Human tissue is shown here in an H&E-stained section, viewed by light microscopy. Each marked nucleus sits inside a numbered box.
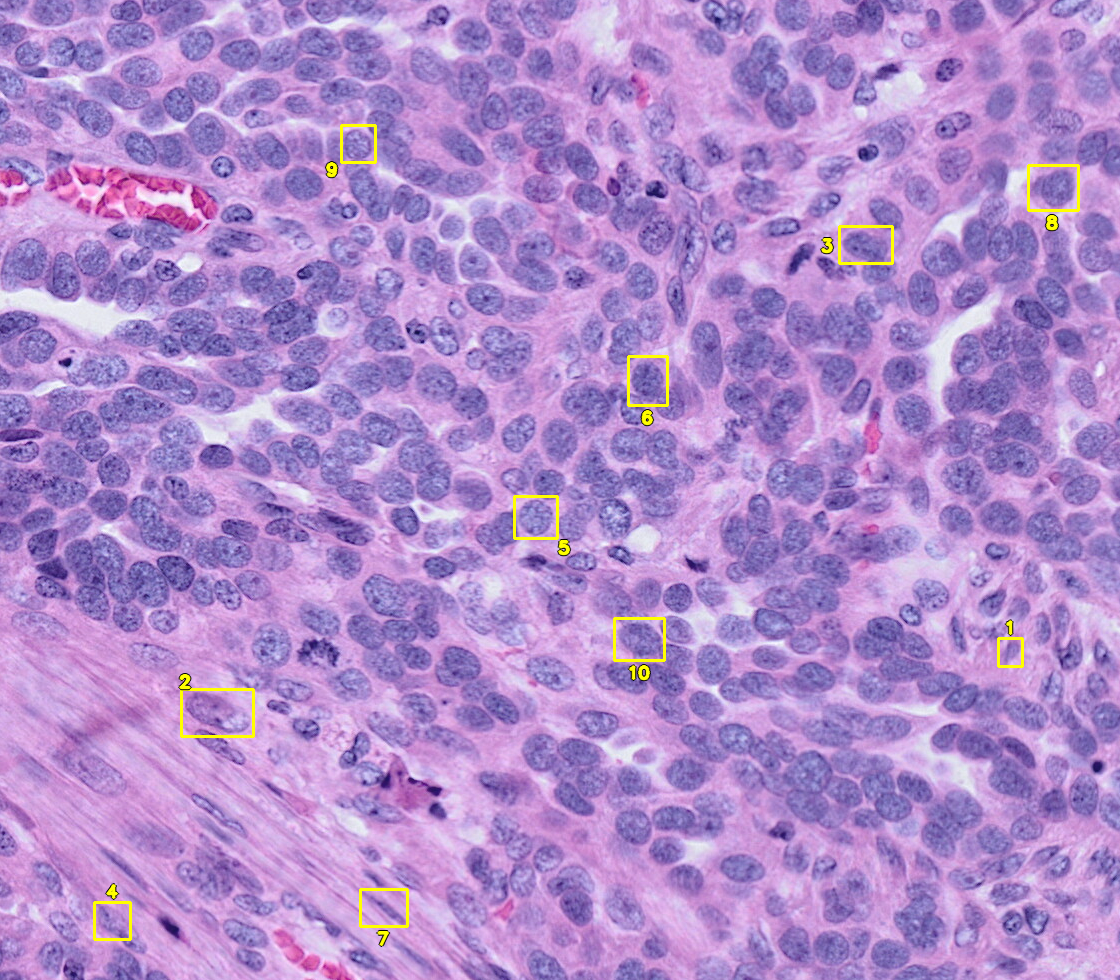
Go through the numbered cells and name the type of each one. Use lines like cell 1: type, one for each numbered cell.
cell 1: fibroblast
cell 2: fibroblast
cell 3: carcinoma cell
cell 4: fibroblast
cell 5: carcinoma cell
cell 6: carcinoma cell
cell 7: fibroblast
cell 8: carcinoma cell
cell 9: carcinoma cell
cell 10: carcinoma cell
